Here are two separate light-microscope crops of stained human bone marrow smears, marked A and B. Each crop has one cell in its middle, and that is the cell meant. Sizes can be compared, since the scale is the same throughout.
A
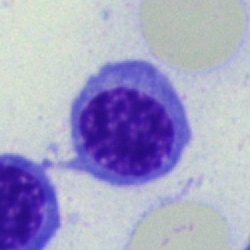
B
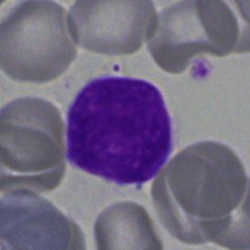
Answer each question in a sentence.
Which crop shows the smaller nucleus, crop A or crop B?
Smaller is the nucleus in crop A, and the other is about 1.5 times as large in area.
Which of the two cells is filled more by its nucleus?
Of the two, the nucleus in crop B makes up the greater part of its cell.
